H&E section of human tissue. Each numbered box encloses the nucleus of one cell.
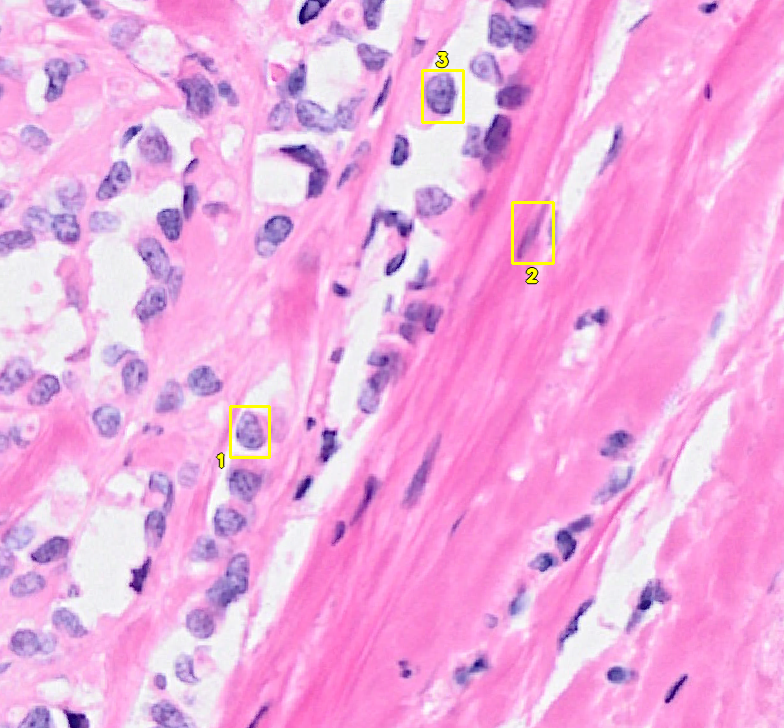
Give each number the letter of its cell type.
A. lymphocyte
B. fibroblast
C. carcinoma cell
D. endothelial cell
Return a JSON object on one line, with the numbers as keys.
{"1": "C", "2": "B", "3": "C"}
